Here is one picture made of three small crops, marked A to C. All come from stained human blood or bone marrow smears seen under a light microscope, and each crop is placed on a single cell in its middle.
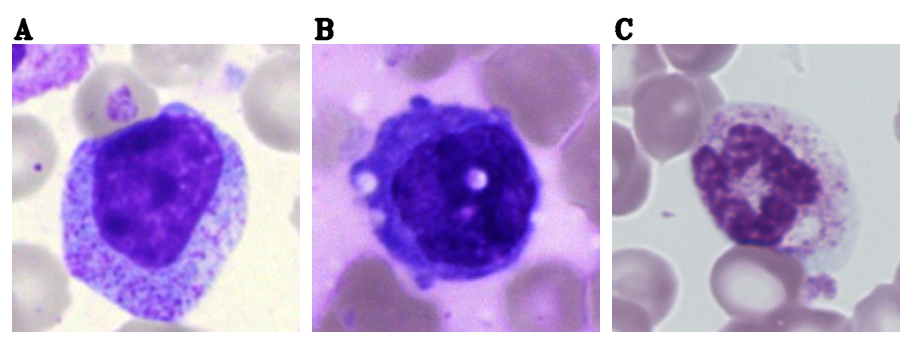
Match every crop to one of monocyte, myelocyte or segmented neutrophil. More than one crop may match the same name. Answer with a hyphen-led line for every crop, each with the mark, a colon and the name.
- A: myelocyte
- B: monocyte
- C: segmented neutrophil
